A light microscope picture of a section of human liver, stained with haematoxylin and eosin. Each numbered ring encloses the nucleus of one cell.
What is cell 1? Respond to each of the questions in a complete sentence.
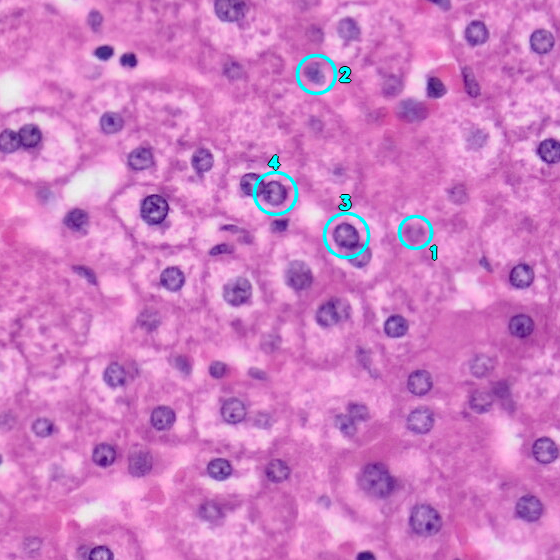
Of the numbered cells, the one labelled 1 is a hepatocyte.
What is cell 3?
The correct answer for cell 3 is a hepatocyte.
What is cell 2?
Marked with the number 2, this cell is an endothelial cell.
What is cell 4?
The cell carrying label 4 is identified as a hepatocyte.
